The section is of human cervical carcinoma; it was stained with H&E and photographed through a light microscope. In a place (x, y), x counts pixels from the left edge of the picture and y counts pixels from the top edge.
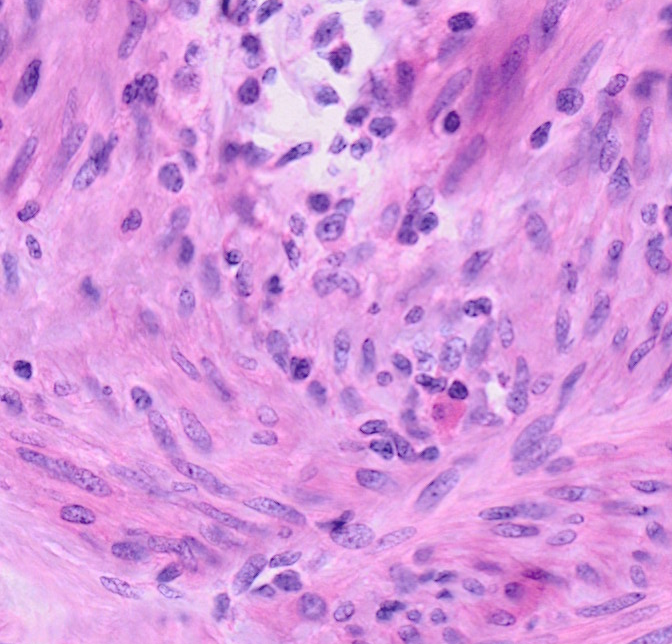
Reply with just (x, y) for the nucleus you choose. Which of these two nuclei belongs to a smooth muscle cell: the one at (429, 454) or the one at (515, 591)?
(515, 591)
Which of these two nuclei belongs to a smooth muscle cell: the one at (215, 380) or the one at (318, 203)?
(215, 380)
